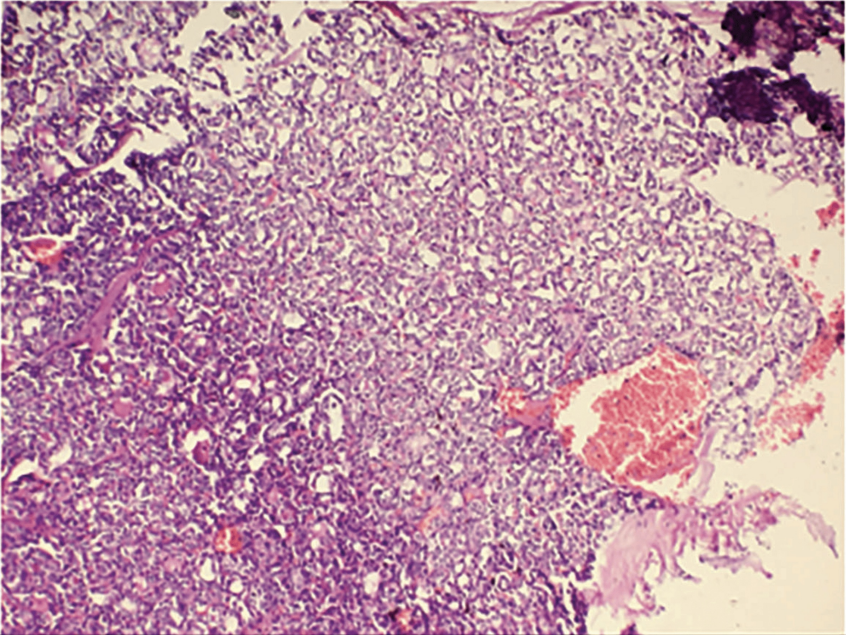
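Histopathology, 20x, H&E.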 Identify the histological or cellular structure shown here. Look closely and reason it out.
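Cells form many tiny round follicles with small central lumina. Some small lumina contain pink material. The follicles are packed closely with little stroma between them. On this evidence: microfollicles.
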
